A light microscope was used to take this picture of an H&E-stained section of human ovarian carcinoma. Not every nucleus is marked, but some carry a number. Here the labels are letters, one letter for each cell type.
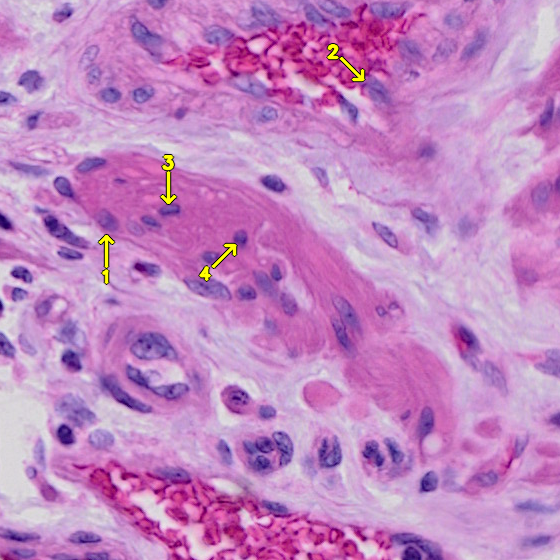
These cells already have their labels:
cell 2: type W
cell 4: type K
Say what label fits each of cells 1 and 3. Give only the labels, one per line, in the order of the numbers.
type K
type K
